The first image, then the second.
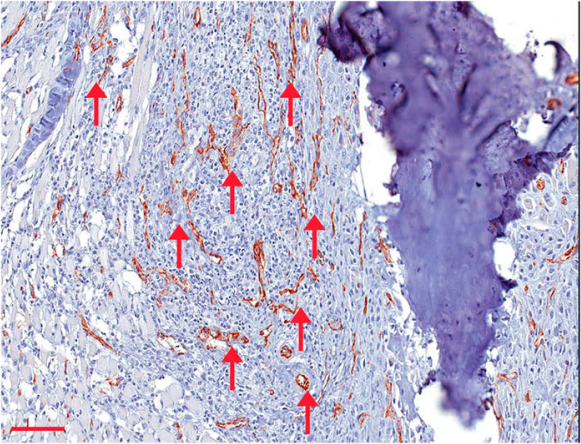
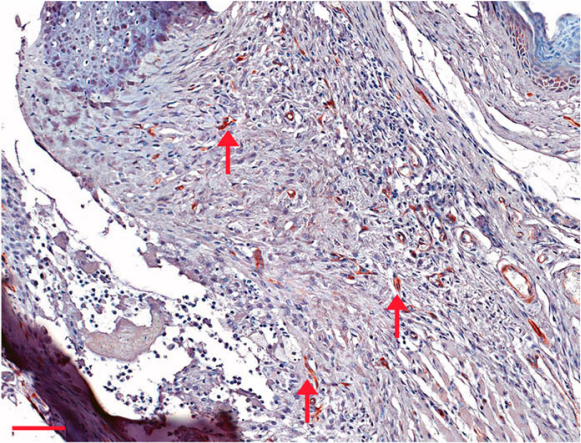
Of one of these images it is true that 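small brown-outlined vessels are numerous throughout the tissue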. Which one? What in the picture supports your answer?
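The first image. Second image: only a few scattered brown vessel profiles in mostly blue-stained tissue. First image: many brown elongated and ring-shaped vessel profiles spread across the cellular tissue.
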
